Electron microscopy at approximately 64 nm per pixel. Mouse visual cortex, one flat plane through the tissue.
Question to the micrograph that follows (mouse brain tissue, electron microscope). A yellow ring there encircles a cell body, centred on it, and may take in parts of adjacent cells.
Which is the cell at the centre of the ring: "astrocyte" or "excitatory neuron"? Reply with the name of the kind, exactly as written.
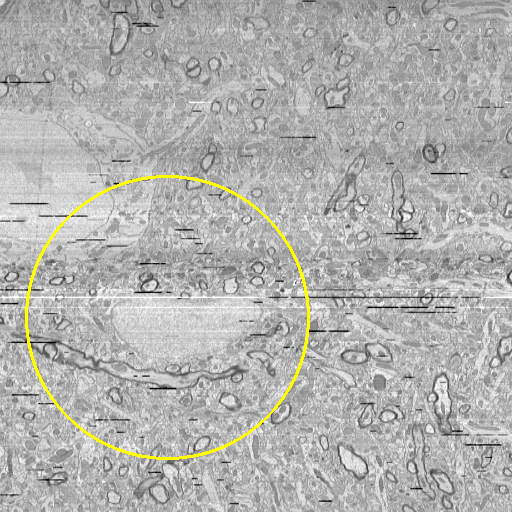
astrocyte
